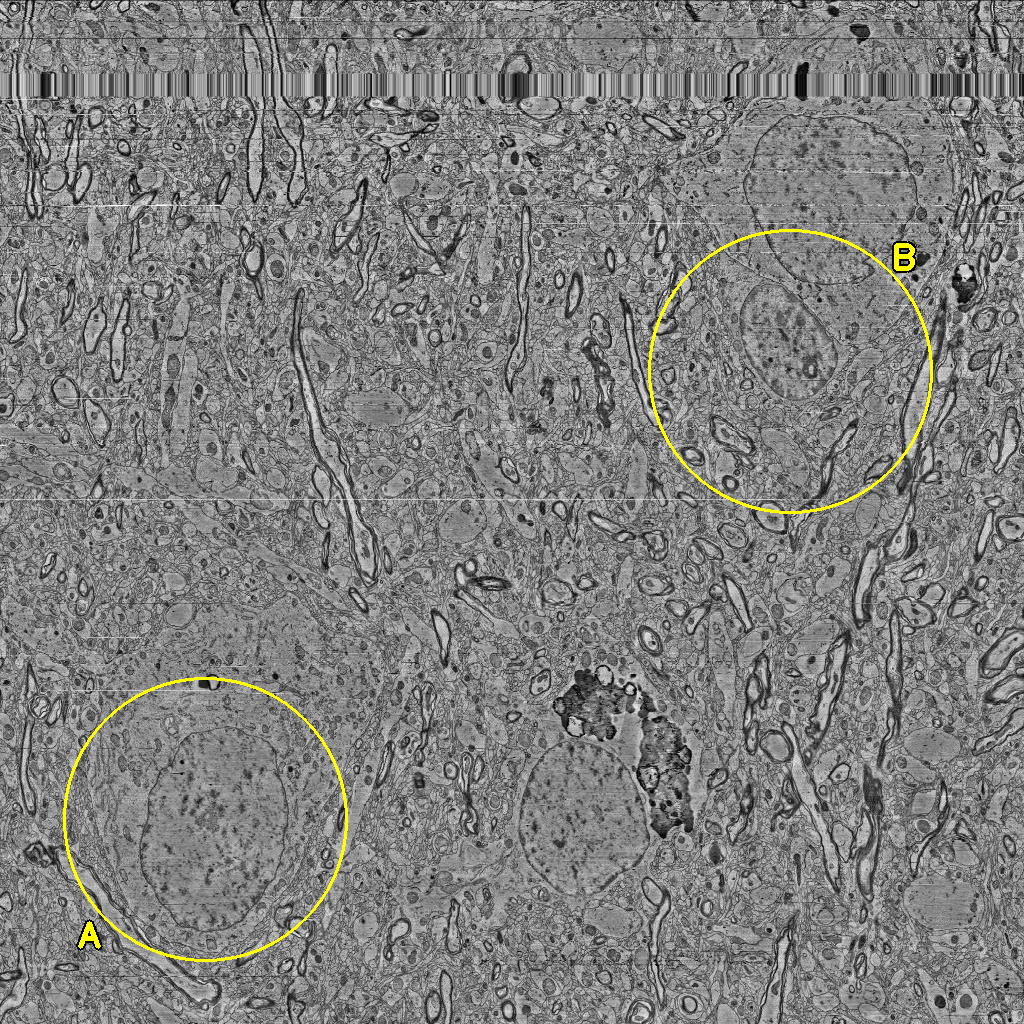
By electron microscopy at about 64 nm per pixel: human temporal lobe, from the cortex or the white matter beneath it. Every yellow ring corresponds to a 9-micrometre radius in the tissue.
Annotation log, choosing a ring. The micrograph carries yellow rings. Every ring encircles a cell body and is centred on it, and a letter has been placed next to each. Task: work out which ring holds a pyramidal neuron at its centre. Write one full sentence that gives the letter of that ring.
In the micrograph, the ring centred on the cell asked for carries the letter A.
